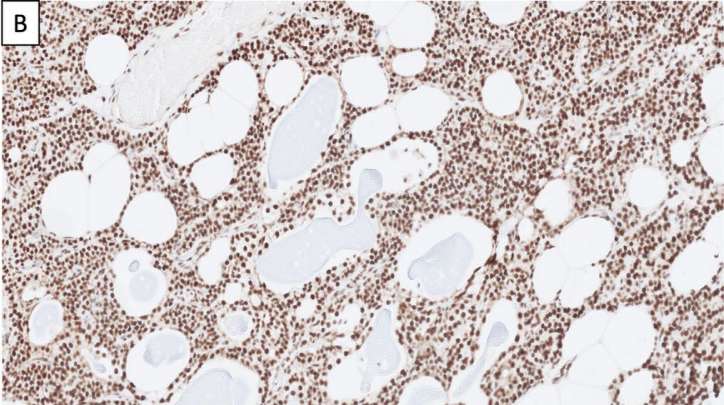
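The cells form sheets and cords between many round empty fat cells of varying size. Several rounded spaces contain pale, homogeneous, lightly blue-grey material. A thin-walled vessel with pale fibrous wall runs across the upper part. The nuclear brown stain is strong and uniform throughout the cellular areas.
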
